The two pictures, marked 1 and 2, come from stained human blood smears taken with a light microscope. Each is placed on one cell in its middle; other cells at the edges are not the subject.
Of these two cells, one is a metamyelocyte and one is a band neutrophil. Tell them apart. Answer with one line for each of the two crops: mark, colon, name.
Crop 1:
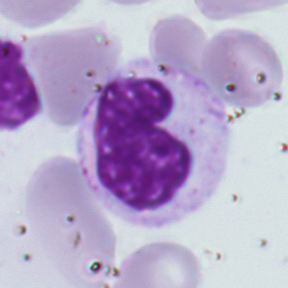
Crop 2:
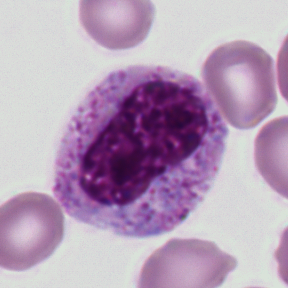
1: band neutrophil
2: metamyelocyte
